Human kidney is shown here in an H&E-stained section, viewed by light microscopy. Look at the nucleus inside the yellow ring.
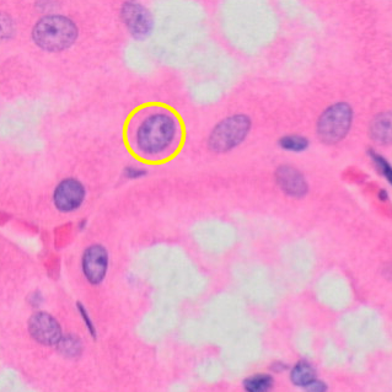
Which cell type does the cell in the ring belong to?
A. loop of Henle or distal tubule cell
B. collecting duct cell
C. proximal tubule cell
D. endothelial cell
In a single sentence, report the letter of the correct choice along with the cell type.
Of the options offered, C is correct, as the cell in the ring is a proximal tubule cell.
